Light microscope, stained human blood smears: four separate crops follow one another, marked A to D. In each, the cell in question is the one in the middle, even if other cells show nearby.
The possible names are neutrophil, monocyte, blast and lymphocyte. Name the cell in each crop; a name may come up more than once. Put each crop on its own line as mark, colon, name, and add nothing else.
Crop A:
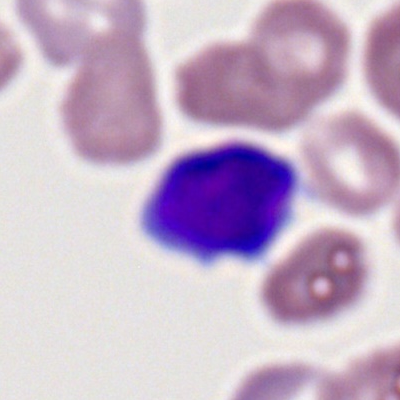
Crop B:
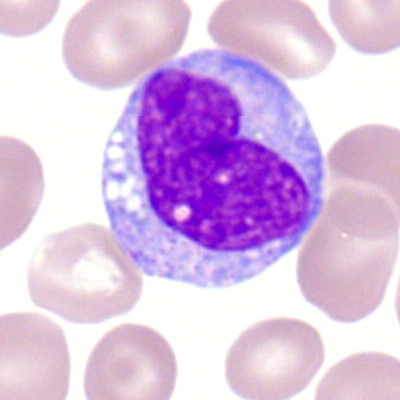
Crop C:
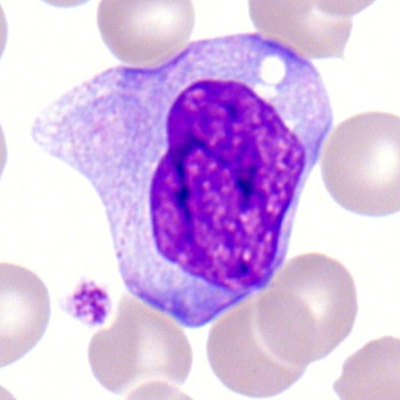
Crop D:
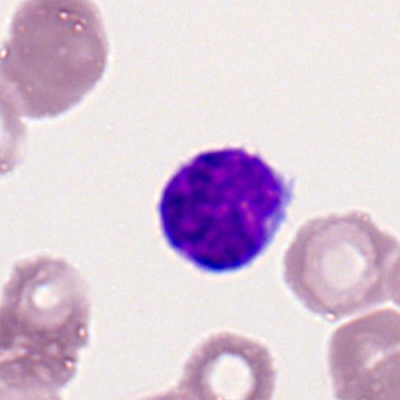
A: lymphocyte
B: monocyte
C: monocyte
D: lymphocyte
